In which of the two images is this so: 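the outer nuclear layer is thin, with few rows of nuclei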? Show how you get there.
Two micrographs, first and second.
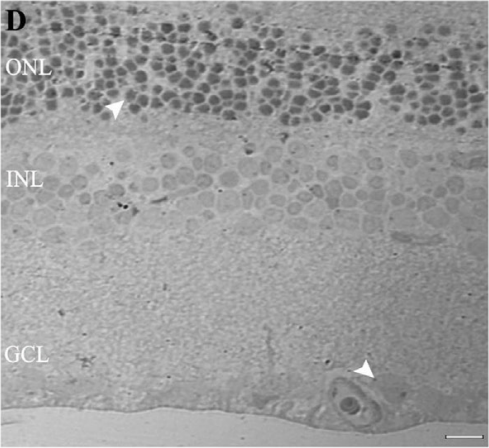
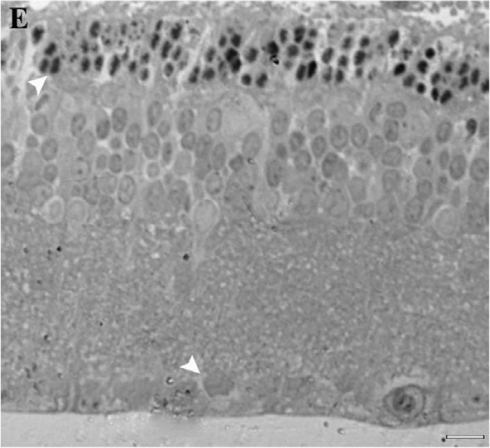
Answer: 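The second image. Second image: the outermost nuclear layer holds only a few rows of dark, condensed nuclei. First image: the outermost nuclear layer is thick, with many rows of closely packed rounded nuclei.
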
